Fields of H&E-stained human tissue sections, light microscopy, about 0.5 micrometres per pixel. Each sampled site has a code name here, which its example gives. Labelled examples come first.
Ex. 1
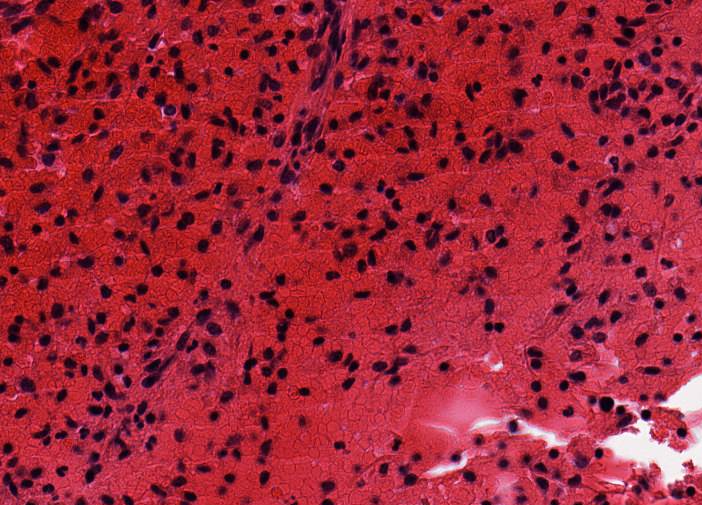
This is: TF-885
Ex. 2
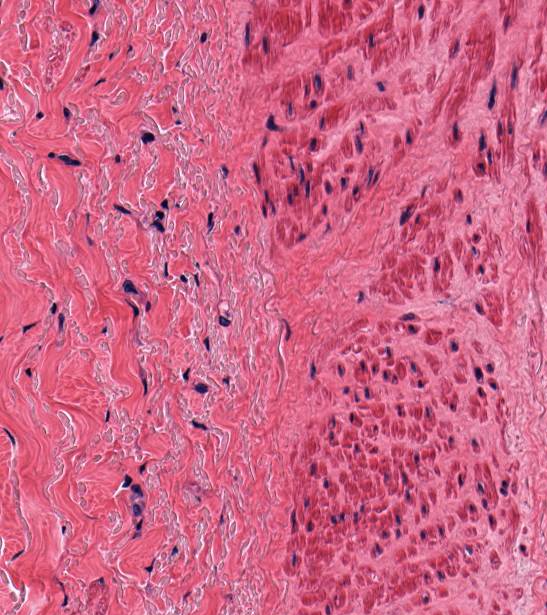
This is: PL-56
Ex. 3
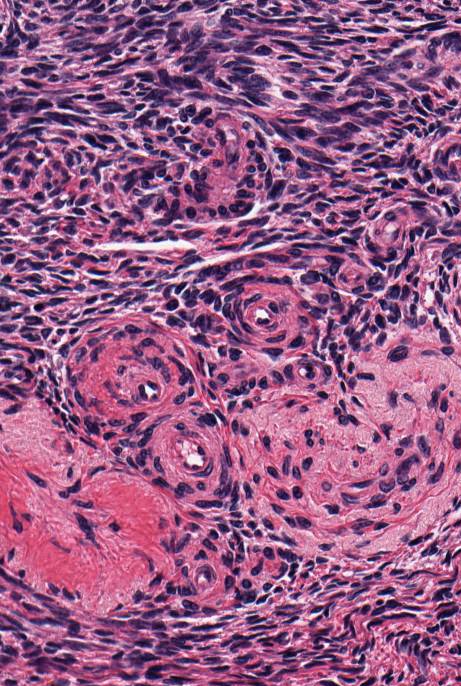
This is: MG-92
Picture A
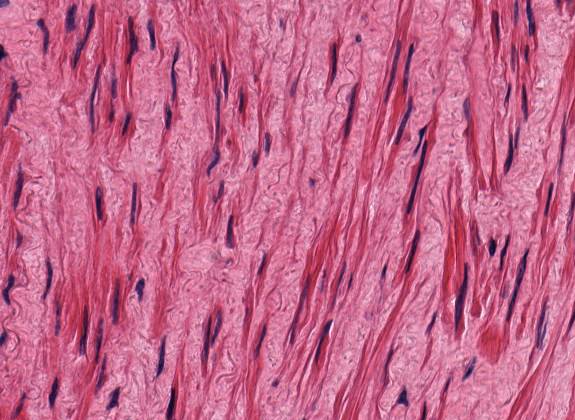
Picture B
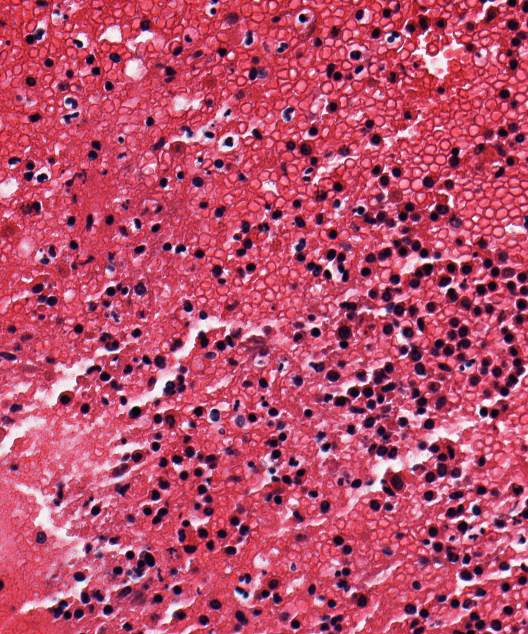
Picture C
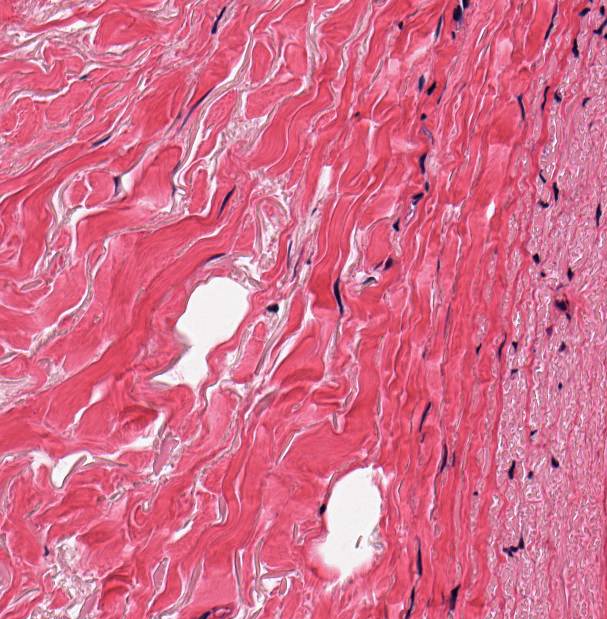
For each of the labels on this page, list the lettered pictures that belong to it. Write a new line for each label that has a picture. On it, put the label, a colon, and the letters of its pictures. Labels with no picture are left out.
TF-885: B
PL-56: A, C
